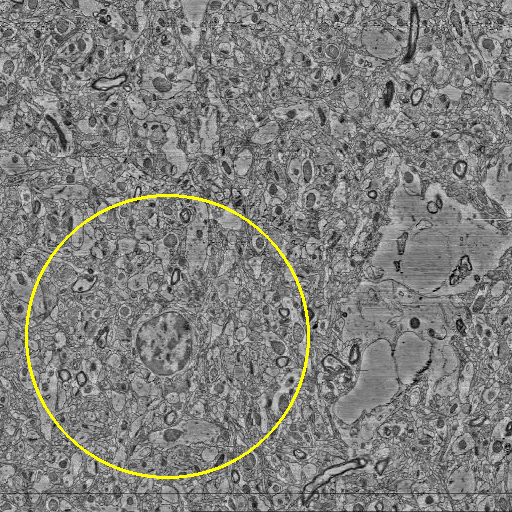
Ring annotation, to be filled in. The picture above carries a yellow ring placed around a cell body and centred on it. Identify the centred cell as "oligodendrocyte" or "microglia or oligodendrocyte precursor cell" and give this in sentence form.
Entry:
The cell in the middle of the ring is a microglial cell or oligodendrocyte precursor cell.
